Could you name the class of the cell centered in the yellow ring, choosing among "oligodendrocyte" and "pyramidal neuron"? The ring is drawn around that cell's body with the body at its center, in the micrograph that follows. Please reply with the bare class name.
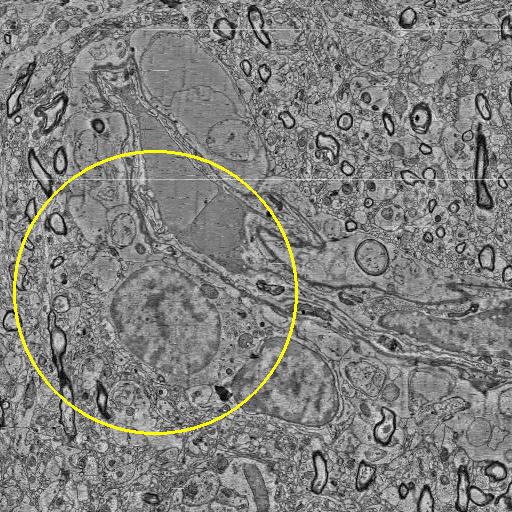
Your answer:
oligodendrocyte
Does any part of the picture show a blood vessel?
Yes.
